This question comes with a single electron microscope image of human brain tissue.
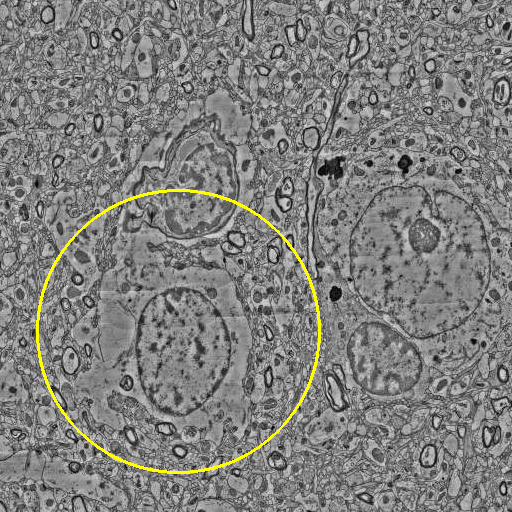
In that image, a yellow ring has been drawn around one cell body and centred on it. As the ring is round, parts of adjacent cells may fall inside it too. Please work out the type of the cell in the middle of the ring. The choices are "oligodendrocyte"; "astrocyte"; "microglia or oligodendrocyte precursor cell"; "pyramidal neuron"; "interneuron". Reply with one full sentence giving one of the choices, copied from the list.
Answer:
Of the choices, an astrocyte is the cell sitting in the middle of the ring.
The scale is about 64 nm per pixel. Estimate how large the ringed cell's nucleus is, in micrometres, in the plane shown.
In this plane the nucleus measures roughly 8 by 6 micrometres.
